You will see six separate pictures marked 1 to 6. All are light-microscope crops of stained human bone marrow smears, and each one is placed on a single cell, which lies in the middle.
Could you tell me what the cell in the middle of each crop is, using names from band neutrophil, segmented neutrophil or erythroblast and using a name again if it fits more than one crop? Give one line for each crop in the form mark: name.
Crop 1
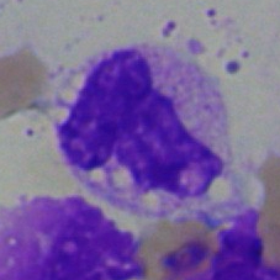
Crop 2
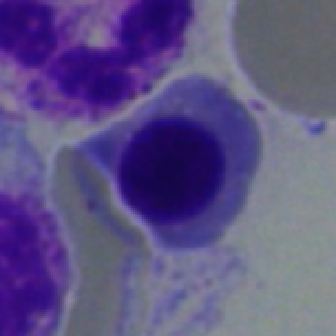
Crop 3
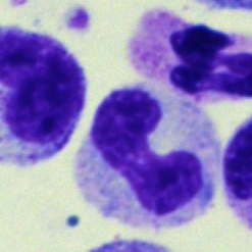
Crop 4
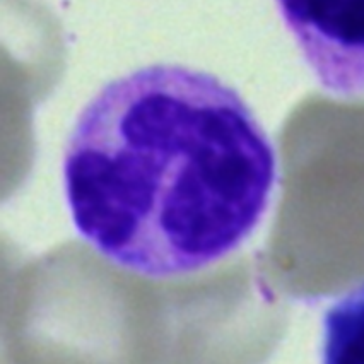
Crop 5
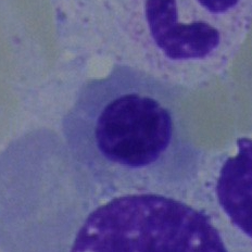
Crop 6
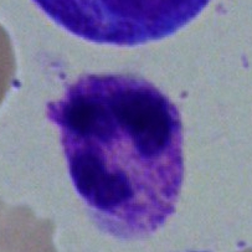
1: band neutrophil
2: erythroblast
3: band neutrophil
4: segmented neutrophil
5: erythroblast
6: segmented neutrophil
